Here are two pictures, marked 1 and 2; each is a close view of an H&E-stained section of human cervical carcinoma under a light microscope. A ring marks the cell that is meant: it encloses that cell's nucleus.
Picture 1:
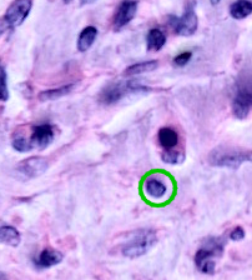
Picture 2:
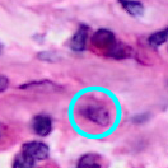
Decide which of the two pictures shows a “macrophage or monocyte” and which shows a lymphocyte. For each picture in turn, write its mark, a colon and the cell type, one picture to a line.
1: lymphocyte
2: macrophage or monocyte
